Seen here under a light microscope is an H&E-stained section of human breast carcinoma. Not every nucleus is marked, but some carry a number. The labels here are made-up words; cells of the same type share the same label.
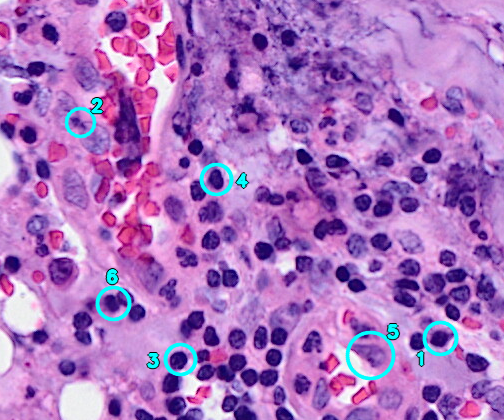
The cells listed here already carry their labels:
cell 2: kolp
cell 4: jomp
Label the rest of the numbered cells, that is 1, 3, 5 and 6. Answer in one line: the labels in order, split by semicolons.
jomp; jomp; kolp; jomp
